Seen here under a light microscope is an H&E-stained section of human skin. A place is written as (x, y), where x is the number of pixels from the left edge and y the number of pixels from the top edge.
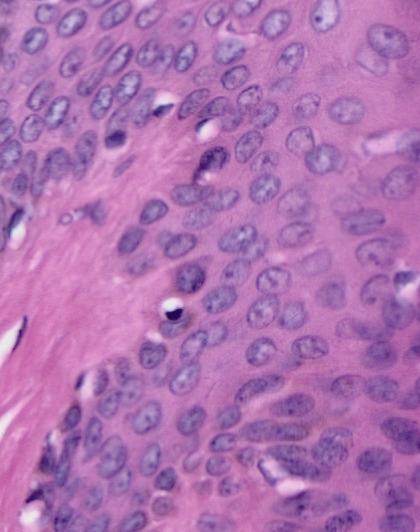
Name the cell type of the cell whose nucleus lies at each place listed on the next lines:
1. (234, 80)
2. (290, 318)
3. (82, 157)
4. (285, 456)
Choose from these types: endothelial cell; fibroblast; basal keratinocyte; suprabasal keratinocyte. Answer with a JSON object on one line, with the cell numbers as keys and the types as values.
{"1": "suprabasal keratinocyte", "2": "suprabasal keratinocyte", "3": "basal keratinocyte", "4": "basal keratinocyte"}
